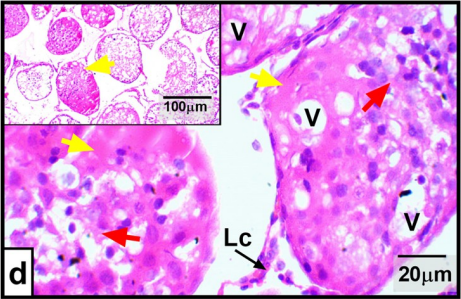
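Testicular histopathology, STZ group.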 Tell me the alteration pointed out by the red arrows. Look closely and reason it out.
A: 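Nuclei at the marked sites are scattered without concentric layering. No lumen with sperm tails is seen in these tubules.
Disorganized germinal layers.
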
